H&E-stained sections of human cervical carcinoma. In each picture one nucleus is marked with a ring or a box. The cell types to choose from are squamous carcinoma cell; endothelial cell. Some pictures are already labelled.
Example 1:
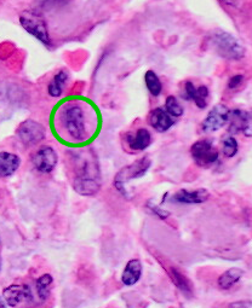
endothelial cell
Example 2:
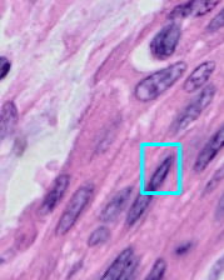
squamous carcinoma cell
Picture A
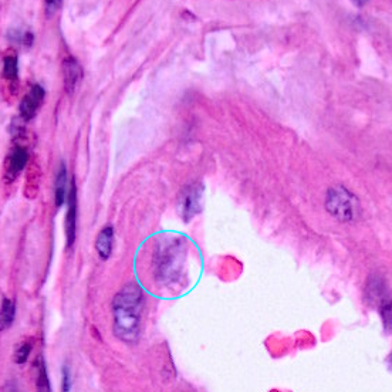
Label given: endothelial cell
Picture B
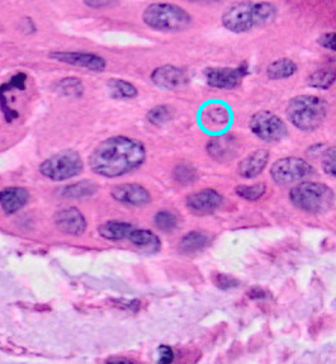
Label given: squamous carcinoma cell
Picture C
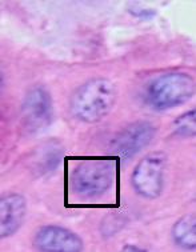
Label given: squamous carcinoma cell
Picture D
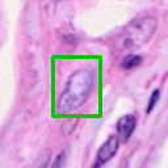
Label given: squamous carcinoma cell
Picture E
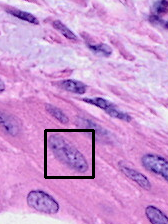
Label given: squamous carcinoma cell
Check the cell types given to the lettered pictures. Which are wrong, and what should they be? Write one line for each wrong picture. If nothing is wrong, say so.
D should be endothelial cell, not squamous carcinoma cell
